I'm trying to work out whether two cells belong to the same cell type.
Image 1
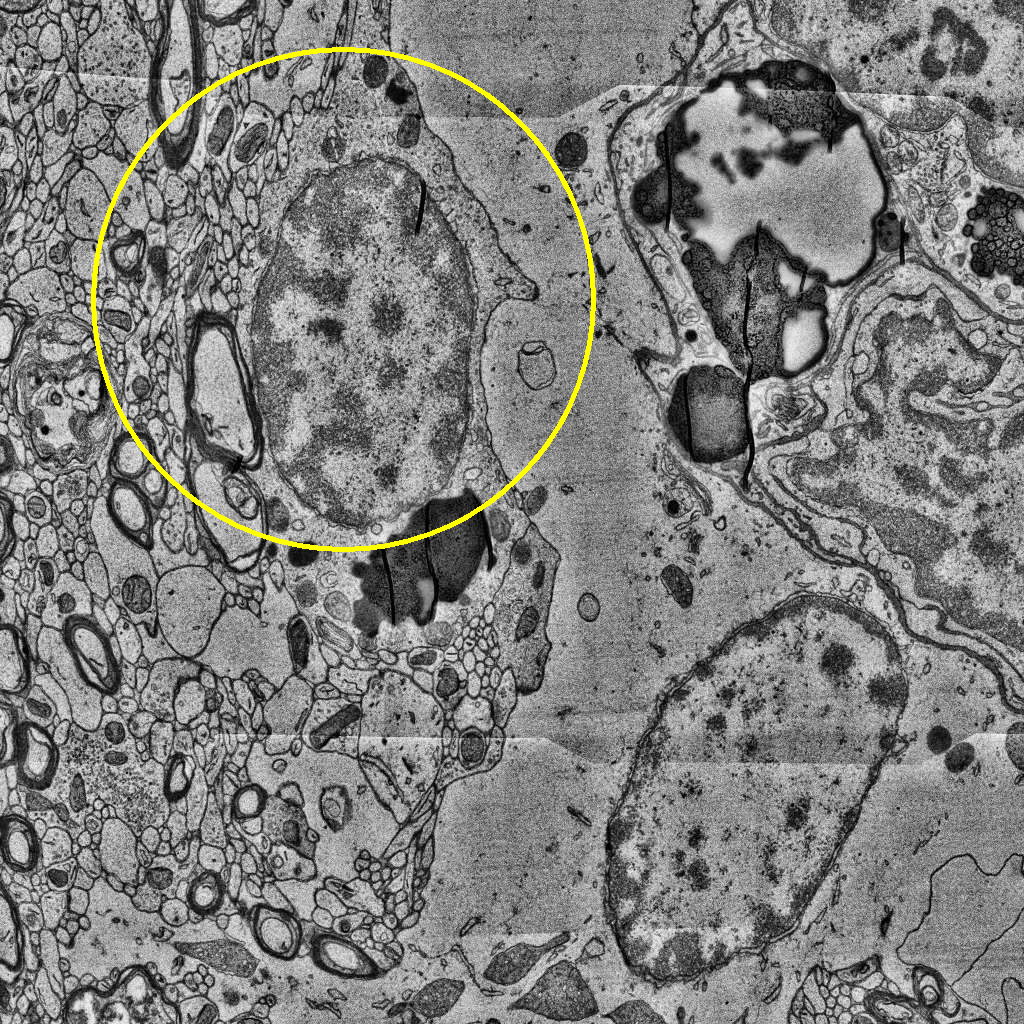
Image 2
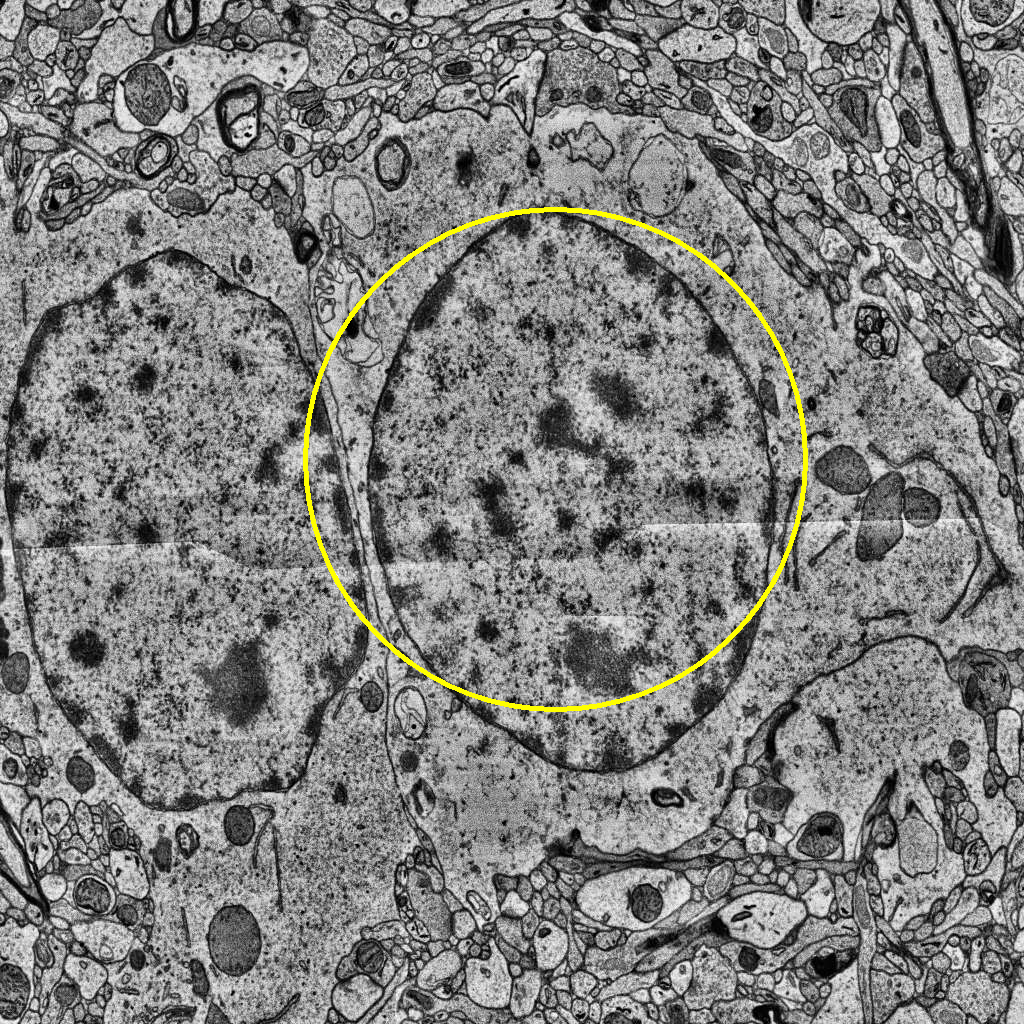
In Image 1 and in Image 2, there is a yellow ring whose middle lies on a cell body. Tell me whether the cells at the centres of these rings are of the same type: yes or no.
no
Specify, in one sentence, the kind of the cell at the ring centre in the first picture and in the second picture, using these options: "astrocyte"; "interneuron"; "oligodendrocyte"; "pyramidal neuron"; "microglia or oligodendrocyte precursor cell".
The cell marked in the first picture is an oligodendrocyte, and the one marked in the second is an astrocyte.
